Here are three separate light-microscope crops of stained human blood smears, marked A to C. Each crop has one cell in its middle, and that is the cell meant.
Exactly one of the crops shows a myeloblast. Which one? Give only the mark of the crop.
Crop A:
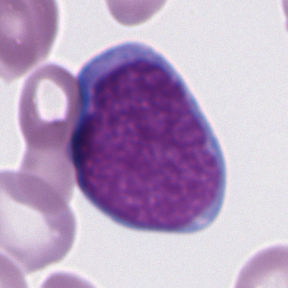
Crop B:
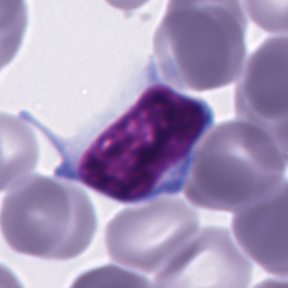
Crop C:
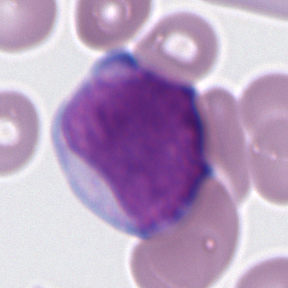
A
